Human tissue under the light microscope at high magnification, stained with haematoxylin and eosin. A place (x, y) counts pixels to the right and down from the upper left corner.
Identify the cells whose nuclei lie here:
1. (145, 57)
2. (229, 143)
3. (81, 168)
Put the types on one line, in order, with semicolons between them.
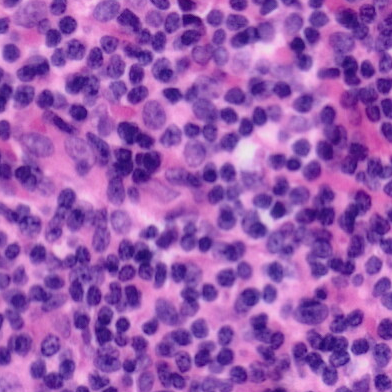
small lymphocyte; small lymphocyte; endothelial cell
